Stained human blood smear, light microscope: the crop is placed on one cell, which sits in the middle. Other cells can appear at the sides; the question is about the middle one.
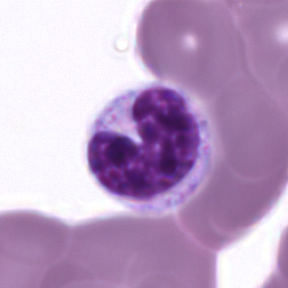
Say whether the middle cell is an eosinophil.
no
